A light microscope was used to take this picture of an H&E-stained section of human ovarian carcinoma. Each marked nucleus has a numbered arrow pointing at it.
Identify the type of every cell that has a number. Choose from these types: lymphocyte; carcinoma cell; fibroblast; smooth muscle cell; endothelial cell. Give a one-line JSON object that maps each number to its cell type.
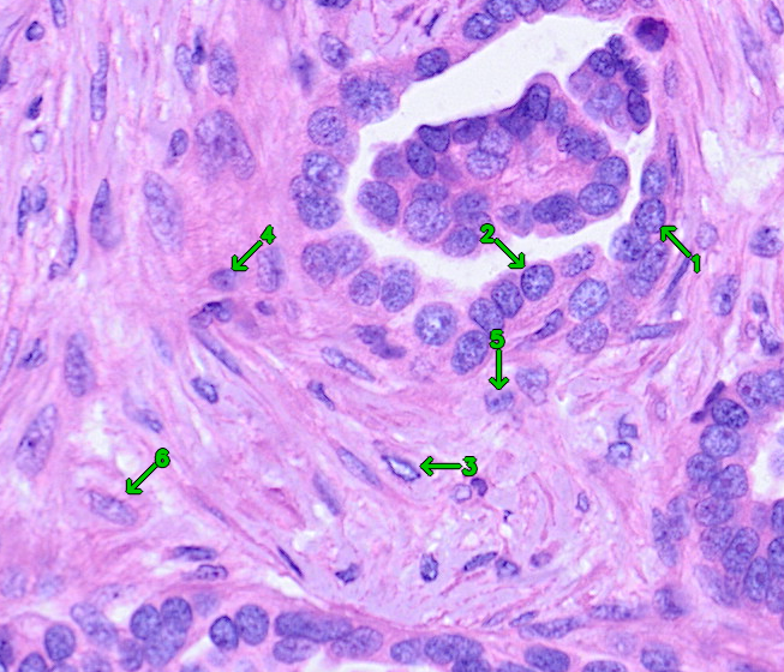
{"1": "carcinoma cell", "2": "carcinoma cell", "3": "fibroblast", "4": "fibroblast", "5": "fibroblast", "6": "fibroblast"}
